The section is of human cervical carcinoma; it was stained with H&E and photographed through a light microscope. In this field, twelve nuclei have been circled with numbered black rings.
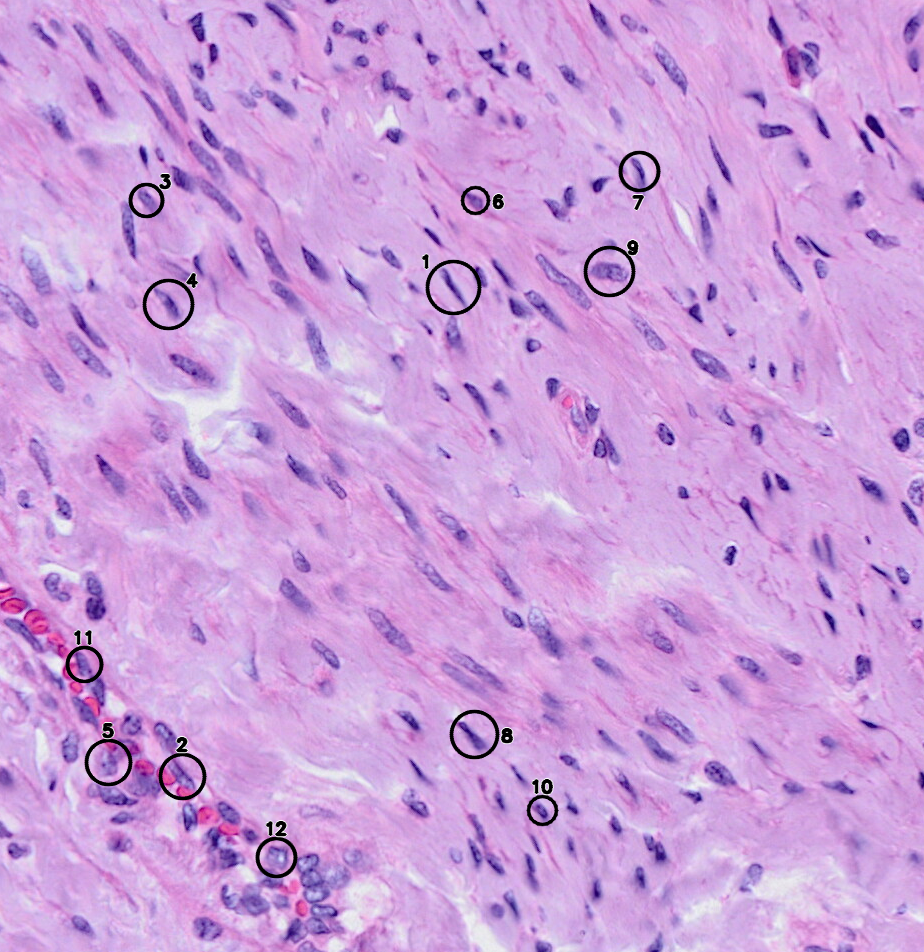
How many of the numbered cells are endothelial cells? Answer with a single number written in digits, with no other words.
4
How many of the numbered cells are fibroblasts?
5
